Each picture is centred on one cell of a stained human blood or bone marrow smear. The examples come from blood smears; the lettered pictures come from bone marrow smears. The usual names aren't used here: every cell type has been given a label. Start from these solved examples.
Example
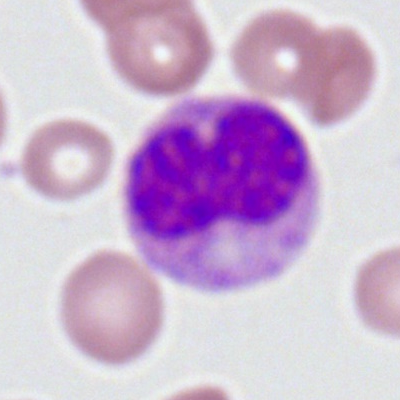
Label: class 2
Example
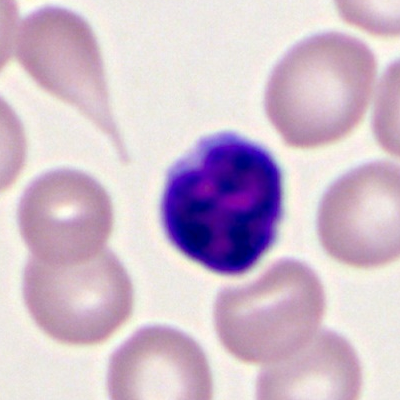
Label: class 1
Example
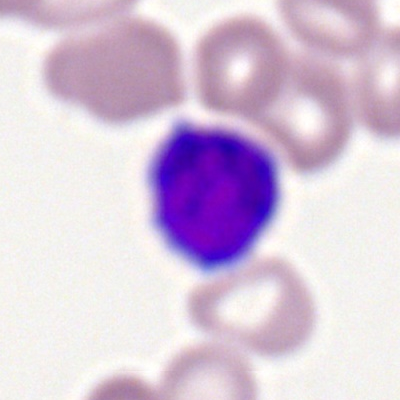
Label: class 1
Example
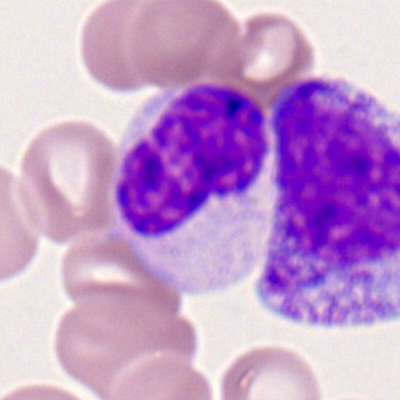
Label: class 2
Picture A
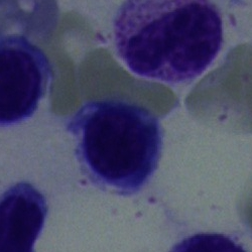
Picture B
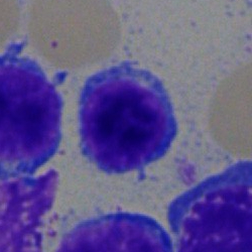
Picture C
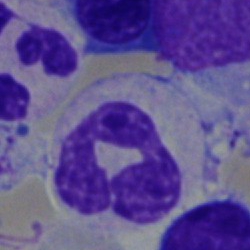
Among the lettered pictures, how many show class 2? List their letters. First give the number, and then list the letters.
1, namely C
